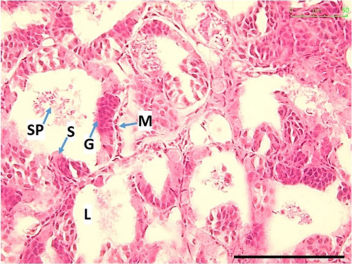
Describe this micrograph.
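Section of testis showing seminiferous tubules cut in cross section, each with an open pale lumen. The tubule walls are lined by several layers of cells with round purple nuclei and pink cytoplasm; clusters of germ cells with dark nuclei sit along the epithelium, and Sertoli cells lie among them against the wall. Small wispy groups of spermatids lie within some lumens. Thin strands of pink mesenchyme with flattened nuclei separate neighbouring tubules. The tubules are closely packed, each retaining a recognisable epithelium surrounding a central space.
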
